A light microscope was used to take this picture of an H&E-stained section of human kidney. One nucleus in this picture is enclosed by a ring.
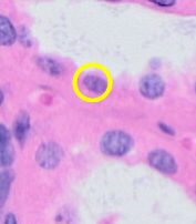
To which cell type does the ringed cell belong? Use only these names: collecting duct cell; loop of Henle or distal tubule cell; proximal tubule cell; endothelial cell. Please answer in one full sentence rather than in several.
For cell typing purposes, the ringed cell is a loop of Henle or distal tubule cell.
